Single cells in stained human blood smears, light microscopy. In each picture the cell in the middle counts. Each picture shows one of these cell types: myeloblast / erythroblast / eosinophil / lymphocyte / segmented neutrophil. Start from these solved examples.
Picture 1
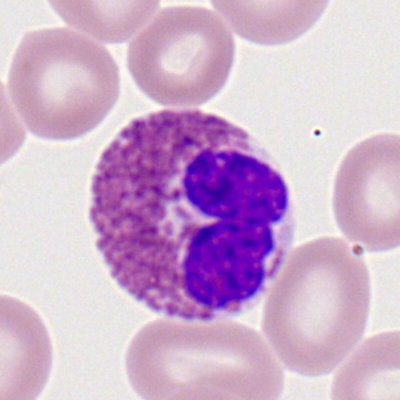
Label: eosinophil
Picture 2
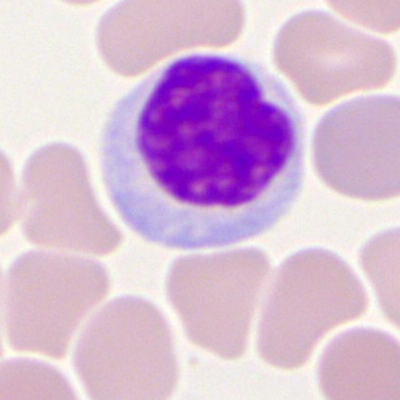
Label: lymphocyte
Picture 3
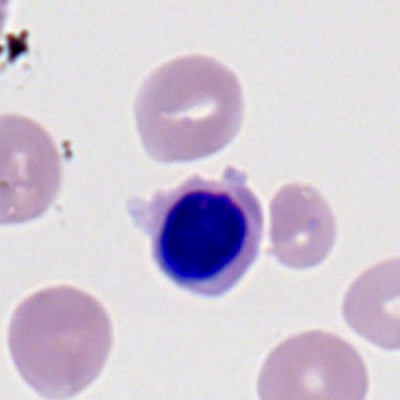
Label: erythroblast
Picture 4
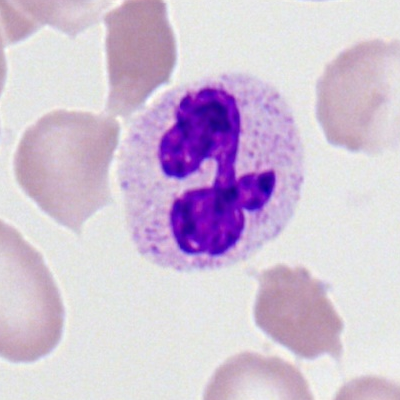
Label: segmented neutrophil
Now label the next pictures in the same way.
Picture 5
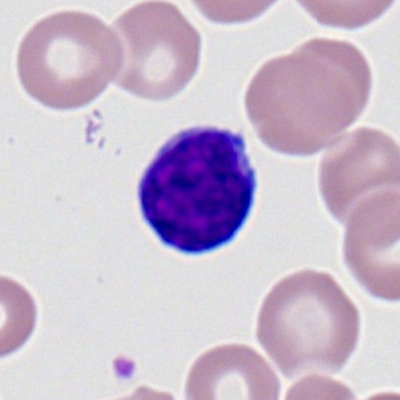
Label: lymphocyte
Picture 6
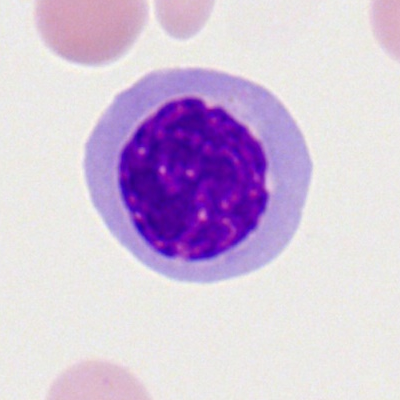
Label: erythroblast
